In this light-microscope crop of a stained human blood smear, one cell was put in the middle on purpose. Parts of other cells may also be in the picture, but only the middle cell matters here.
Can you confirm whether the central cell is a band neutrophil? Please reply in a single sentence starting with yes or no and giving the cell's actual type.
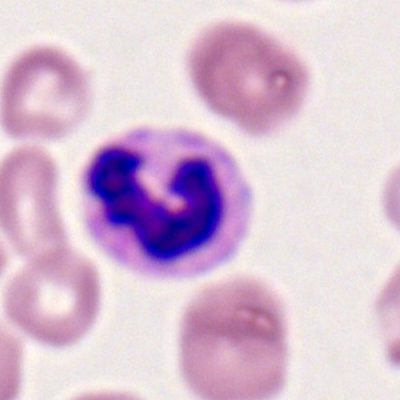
No, it is not a band neutrophil that sits at the centre but a segmented neutrophil.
